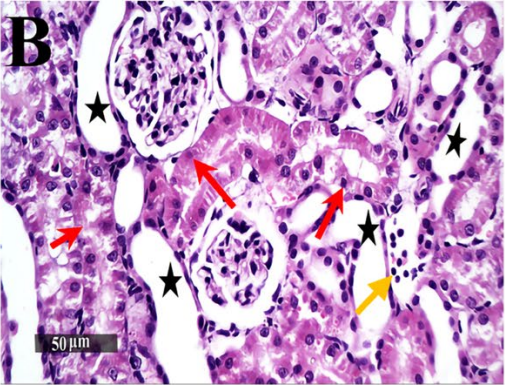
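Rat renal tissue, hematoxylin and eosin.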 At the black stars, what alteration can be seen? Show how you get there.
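The stars sit in wide, empty white tubular lumens. The lining around these spaces is thin and flattened.
Conclusion: tubular dilatation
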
